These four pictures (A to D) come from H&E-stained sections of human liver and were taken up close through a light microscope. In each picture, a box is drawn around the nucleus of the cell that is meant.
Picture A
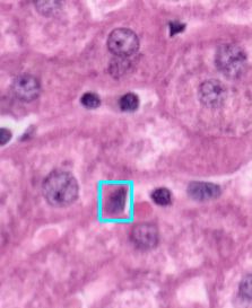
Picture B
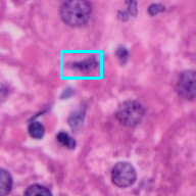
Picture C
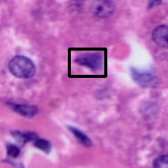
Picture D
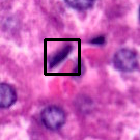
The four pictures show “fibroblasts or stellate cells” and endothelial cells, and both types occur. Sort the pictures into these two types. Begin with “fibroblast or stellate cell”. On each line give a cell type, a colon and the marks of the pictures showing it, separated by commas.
fibroblast or stellate cell: C
endothelial cell: A, B, D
